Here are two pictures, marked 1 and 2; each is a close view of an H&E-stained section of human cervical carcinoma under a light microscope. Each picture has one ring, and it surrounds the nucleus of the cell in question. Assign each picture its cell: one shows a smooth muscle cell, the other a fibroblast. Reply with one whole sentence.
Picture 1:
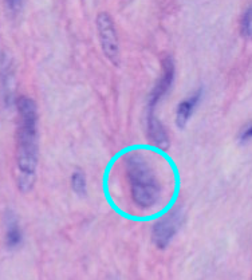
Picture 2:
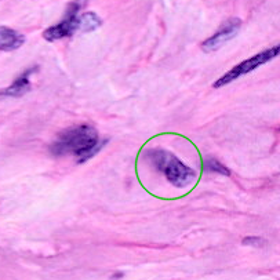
The cell in picture 1 is a smooth muscle cell, and the one in picture 2 is a fibroblast.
